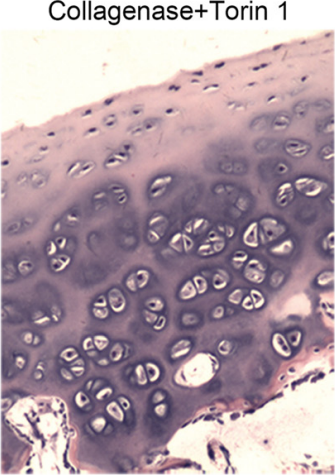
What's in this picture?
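This is articular cartilage with chondrocytes in a purple matrix. Just under the surface there is a band of small, dark, flattened nuclei. Deeper down the chondrocytes are gathered into large clusters, several cells to a shared clear space, with the spaces crowded together. The matrix around the clusters is dark purple, while elsewhere it is paler pink-purple. At the bottom the cartilage meets pink bone and marrow.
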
